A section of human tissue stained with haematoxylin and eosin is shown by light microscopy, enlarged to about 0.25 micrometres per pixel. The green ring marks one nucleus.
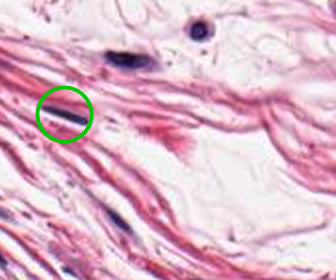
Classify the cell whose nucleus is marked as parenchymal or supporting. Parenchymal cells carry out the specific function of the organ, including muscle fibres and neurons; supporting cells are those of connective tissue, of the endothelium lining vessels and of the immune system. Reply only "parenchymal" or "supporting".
supporting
